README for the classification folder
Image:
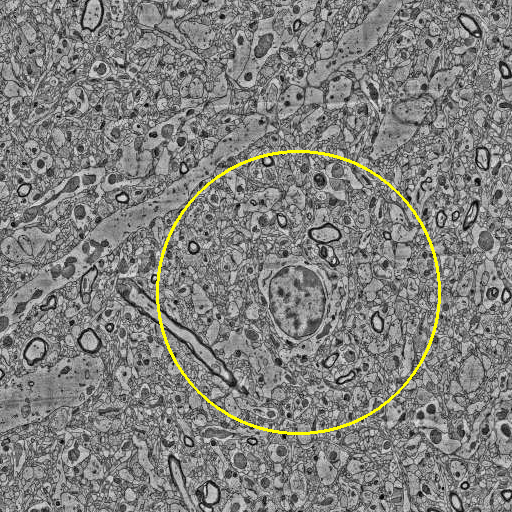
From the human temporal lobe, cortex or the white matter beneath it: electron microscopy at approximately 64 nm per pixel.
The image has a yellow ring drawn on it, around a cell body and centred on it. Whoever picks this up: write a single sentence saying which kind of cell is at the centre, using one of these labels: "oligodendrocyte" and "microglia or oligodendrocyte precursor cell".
This cell body is that of a microglial cell or oligodendrocyte precursor cell.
